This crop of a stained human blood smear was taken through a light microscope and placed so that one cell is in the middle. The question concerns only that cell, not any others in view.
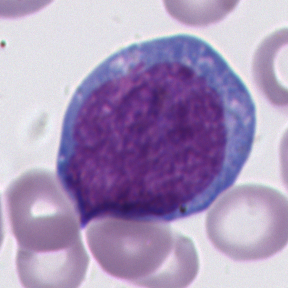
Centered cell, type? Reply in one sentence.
The cell at the heart of this crop is a promyelocyte.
